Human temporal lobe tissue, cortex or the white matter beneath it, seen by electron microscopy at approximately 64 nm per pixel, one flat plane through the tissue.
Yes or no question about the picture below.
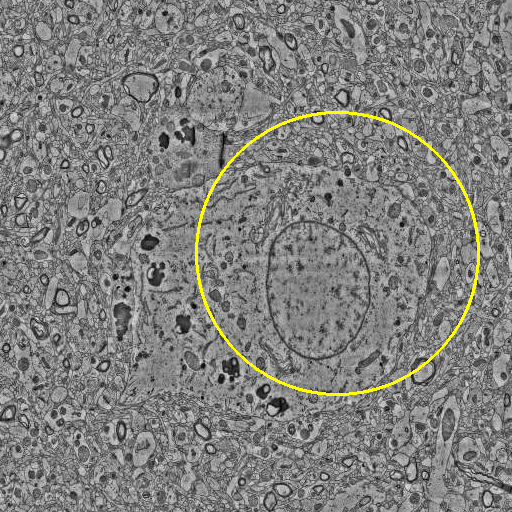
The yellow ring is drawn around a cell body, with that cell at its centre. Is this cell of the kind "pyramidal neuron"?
yes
